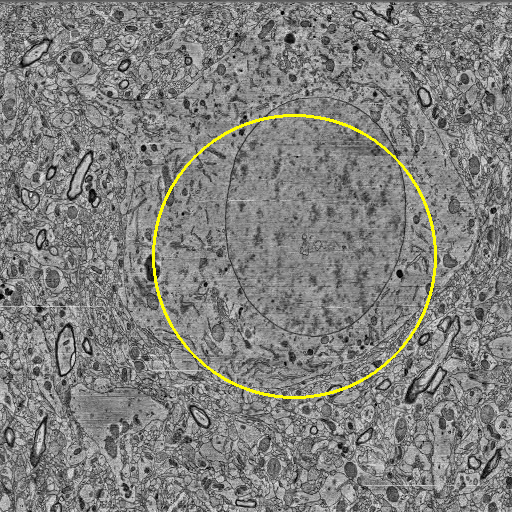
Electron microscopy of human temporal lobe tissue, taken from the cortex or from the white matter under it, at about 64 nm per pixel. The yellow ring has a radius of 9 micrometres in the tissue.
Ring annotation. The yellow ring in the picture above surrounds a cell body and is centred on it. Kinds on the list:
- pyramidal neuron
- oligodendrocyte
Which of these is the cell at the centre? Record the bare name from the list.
pyramidal neuron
